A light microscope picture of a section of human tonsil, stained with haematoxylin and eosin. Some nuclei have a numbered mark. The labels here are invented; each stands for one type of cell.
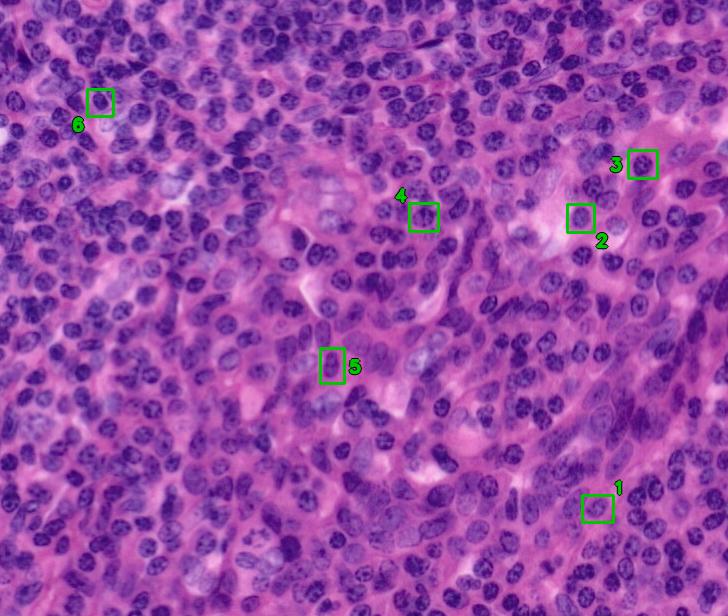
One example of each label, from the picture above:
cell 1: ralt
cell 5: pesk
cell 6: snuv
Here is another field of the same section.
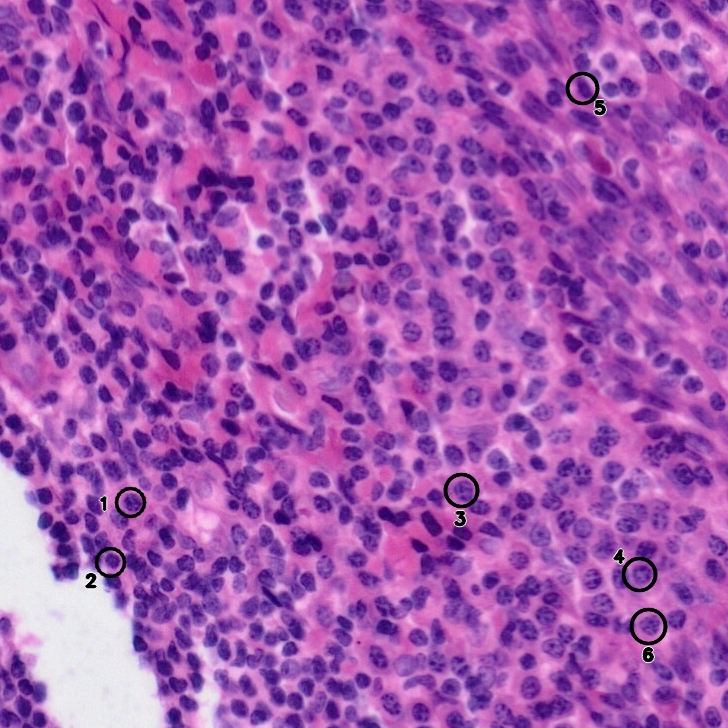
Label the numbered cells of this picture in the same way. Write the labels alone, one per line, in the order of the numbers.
ralt
snuv
ralt
ralt
pesk
ralt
